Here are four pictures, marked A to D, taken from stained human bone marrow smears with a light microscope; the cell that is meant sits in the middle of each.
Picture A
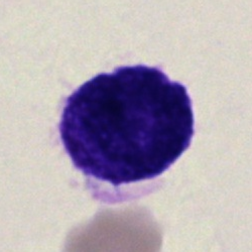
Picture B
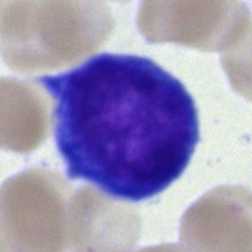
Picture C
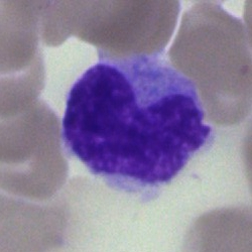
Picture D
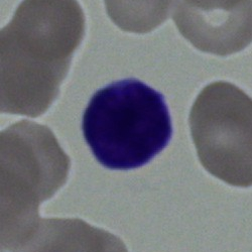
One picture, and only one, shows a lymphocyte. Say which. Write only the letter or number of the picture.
D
